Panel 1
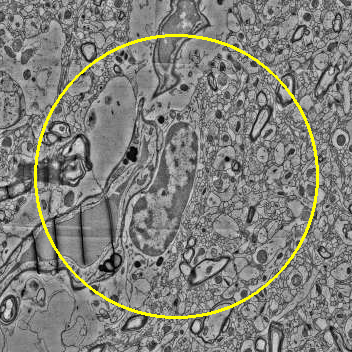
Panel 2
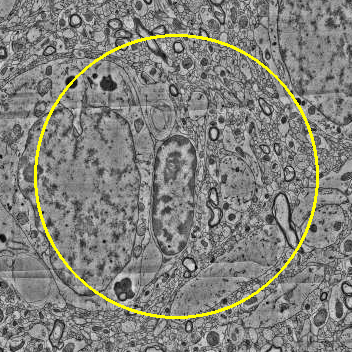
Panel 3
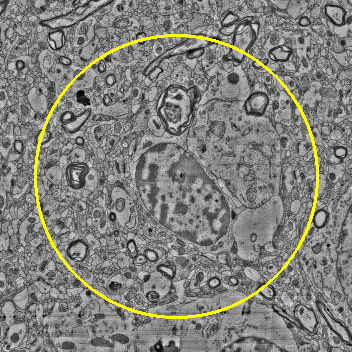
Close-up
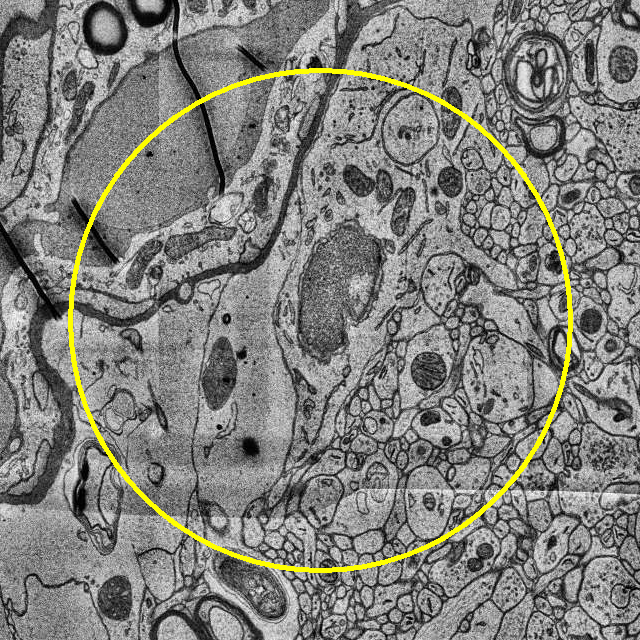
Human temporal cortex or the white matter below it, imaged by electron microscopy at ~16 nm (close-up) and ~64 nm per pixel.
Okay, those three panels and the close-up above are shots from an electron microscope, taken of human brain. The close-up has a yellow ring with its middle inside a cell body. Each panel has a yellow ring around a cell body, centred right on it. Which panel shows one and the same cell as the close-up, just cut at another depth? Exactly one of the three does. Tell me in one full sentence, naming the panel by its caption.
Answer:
The close-up captures the cell that carries a yellow ring in Panel 1.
